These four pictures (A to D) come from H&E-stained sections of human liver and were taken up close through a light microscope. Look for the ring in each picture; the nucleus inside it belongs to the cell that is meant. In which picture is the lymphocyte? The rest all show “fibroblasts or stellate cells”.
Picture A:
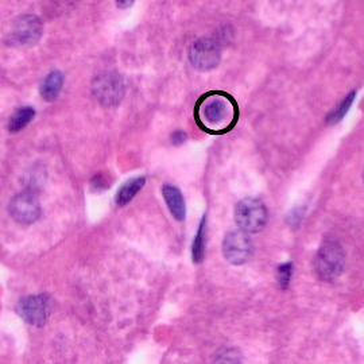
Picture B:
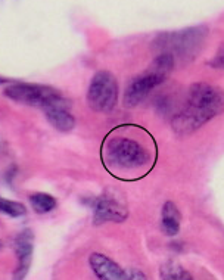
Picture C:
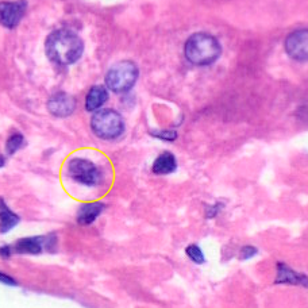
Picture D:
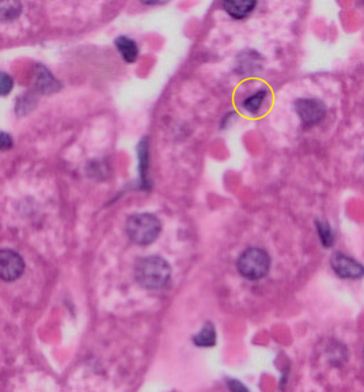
A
